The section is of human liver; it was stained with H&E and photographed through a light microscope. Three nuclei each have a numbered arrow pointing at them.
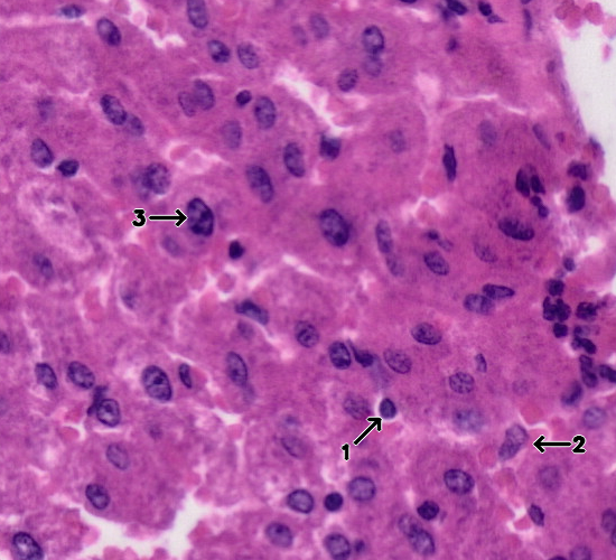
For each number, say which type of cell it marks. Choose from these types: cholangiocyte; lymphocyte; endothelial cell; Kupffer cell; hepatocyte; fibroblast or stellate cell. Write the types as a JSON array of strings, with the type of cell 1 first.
["lymphocyte", "Kupffer cell", "hepatocyte"]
